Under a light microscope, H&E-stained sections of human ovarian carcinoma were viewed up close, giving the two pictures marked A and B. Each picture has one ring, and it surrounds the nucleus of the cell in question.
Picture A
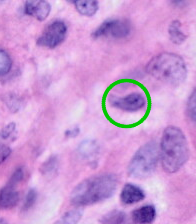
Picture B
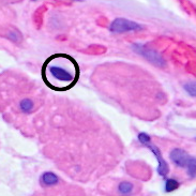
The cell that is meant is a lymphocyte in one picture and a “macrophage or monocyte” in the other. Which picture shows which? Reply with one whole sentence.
The cell in picture A is a “macrophage or monocyte”, and the one in picture B is a lymphocyte.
